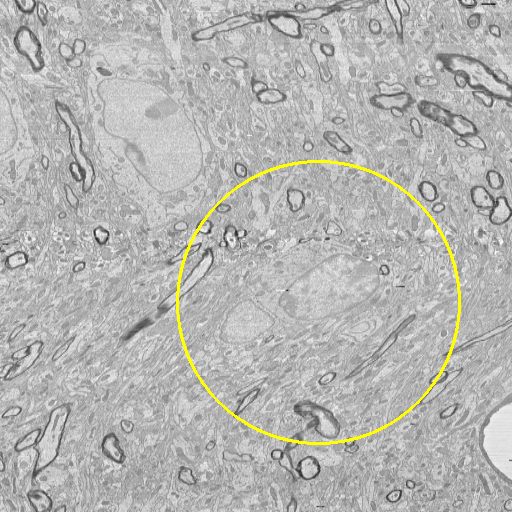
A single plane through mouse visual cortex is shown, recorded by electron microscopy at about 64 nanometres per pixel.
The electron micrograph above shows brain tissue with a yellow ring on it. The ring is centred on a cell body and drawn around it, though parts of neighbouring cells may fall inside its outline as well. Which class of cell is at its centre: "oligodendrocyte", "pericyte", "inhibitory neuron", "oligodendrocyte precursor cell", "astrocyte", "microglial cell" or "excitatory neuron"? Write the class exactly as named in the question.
oligodendrocyte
